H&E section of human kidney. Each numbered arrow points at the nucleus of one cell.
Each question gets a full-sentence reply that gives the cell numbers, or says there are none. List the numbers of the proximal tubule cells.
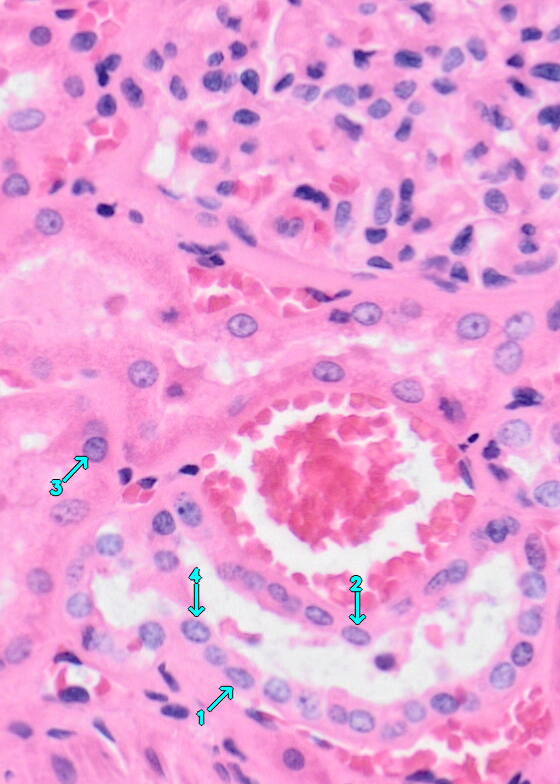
Among the numbered cells, a proximal tubule cell occurs only once, as cell 3.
